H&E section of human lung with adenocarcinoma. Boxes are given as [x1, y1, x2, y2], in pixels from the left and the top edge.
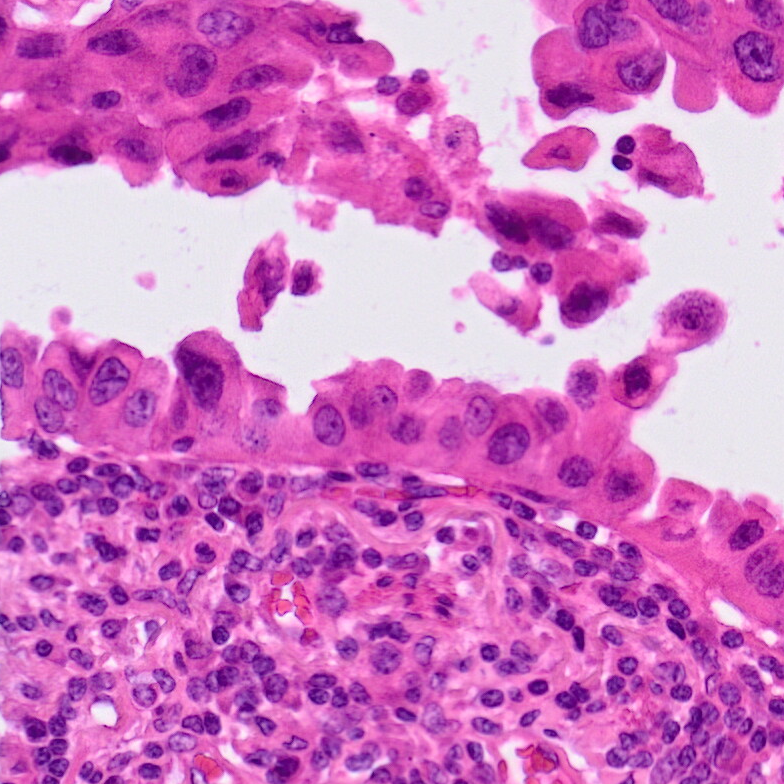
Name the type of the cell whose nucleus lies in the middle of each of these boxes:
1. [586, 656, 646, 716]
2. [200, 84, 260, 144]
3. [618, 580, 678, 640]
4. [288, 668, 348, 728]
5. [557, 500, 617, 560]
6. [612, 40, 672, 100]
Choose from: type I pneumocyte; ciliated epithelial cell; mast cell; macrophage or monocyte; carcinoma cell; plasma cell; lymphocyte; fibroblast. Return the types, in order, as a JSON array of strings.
["lymphocyte", "carcinoma cell", "lymphocyte", "lymphocyte", "lymphocyte", "carcinoma cell"]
